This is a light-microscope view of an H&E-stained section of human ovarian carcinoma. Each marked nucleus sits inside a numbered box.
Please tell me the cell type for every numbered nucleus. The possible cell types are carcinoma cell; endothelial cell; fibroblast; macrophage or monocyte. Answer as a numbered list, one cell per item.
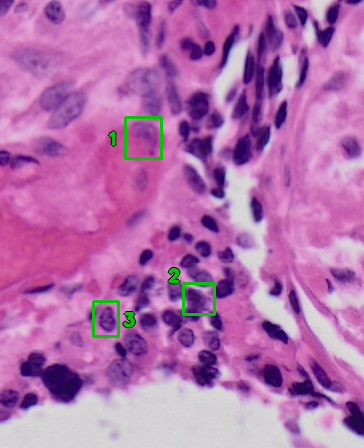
1. fibroblast
2. carcinoma cell
3. macrophage or monocyte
